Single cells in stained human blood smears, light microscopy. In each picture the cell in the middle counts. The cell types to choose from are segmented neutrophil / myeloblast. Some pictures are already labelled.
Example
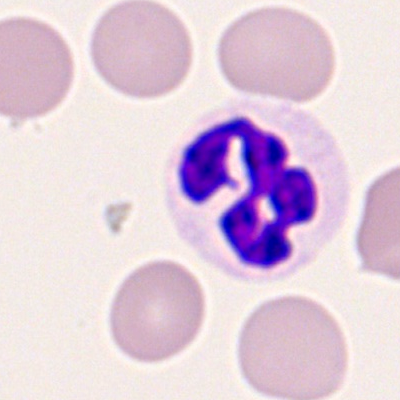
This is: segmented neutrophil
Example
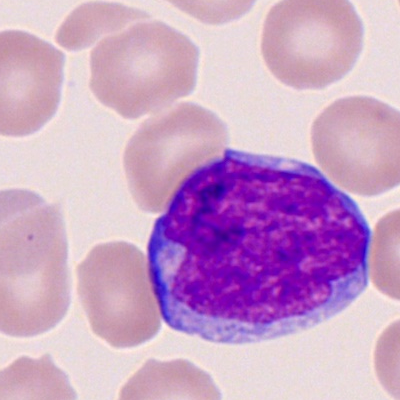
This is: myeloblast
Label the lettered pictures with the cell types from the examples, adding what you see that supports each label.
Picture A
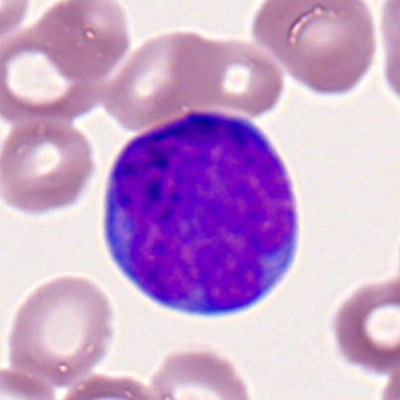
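Answer: myeloblast. The nucleus fills almost the whole cell.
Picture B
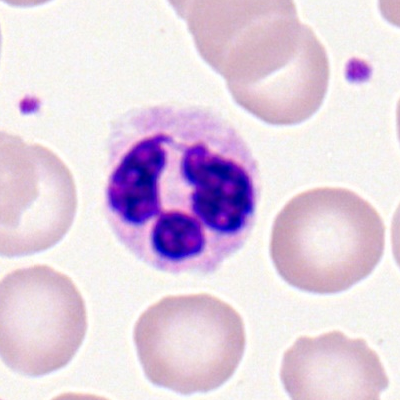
Answer: segmented neutrophil. The nucleus is divided into three lobes.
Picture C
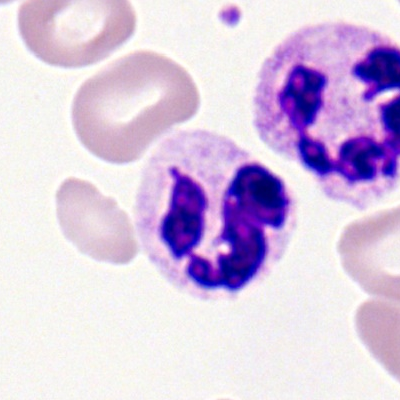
Answer: segmented neutrophil. The cytoplasm is plentiful and pale pinkish-lilac.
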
